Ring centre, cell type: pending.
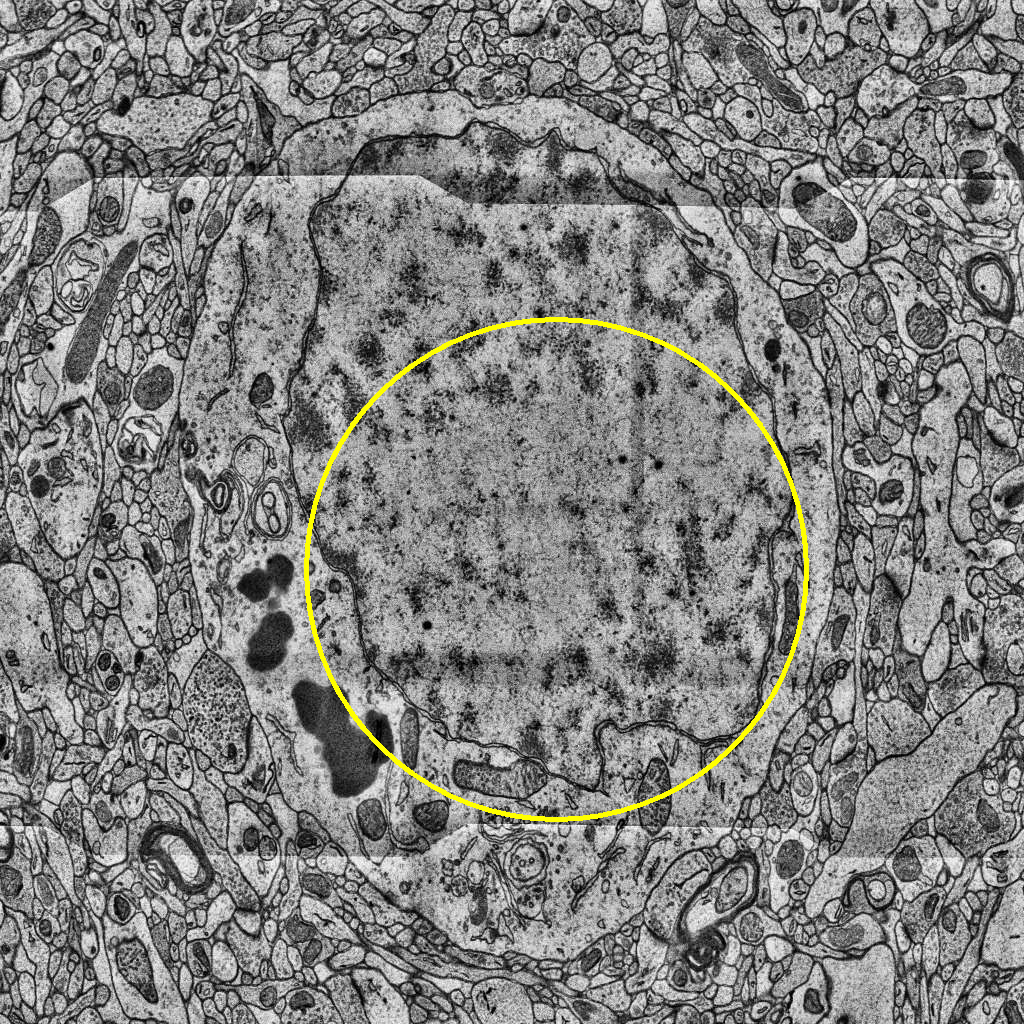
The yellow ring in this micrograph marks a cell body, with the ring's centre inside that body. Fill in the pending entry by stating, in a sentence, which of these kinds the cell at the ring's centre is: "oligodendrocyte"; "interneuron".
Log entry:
The cell at the ring's centre is recorded as an interneuron.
